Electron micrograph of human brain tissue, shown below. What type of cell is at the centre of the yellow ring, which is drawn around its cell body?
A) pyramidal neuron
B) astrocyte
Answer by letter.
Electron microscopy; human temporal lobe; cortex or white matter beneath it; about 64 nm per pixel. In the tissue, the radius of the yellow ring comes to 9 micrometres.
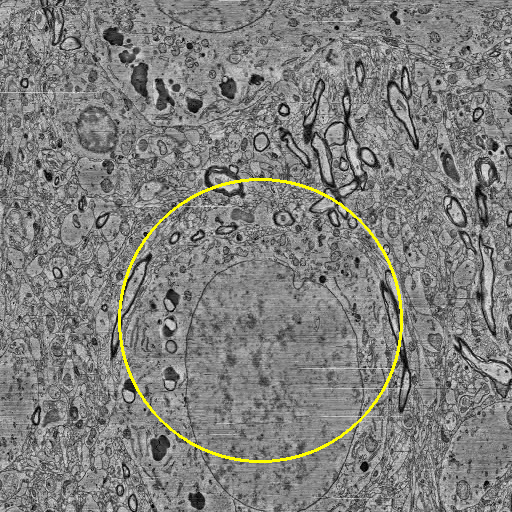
A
